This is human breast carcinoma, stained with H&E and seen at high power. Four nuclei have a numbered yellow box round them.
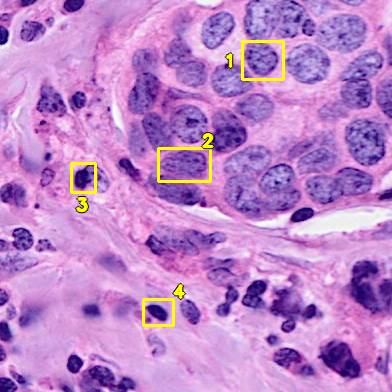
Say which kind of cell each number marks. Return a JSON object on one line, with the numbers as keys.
{"1": "carcinoma cell", "2": "carcinoma cell", "3": "lymphocyte", "4": "lymphocyte"}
